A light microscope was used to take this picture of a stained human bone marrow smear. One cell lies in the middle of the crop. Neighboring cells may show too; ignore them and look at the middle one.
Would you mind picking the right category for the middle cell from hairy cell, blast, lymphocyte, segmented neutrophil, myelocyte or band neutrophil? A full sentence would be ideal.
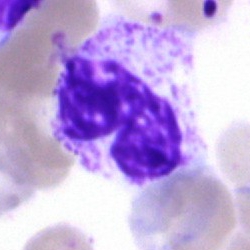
The cell of interest, in the center, is a segmented neutrophil.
